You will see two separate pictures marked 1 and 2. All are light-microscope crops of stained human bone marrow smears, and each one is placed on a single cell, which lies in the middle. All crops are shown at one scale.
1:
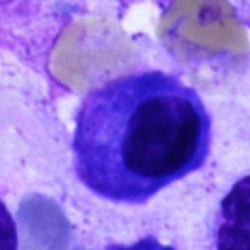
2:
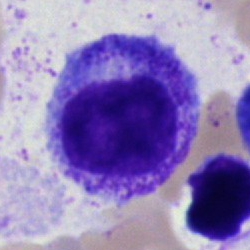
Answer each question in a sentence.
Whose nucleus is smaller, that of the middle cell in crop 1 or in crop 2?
Crop 1 shows the smaller nucleus, since that in crop 2 covers about 2 times as much area.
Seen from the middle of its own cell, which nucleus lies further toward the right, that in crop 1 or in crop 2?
It is the nucleus in crop 1 that lies further toward the right of its cell.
